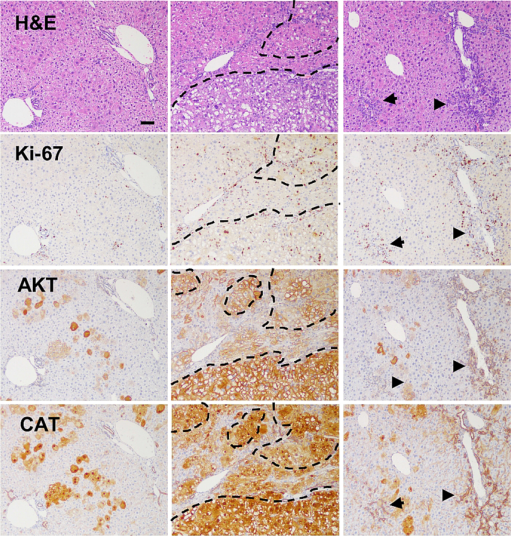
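These are sections of liver with hepatocyte cords around portal areas and vessels. In some fields, regions of tumour are seen as areas of enlarged, pale, clear-cytoplasm hepatocytes sharply bounded from the surrounding parenchyma, and these regions stain strongly brown in the lower rows.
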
